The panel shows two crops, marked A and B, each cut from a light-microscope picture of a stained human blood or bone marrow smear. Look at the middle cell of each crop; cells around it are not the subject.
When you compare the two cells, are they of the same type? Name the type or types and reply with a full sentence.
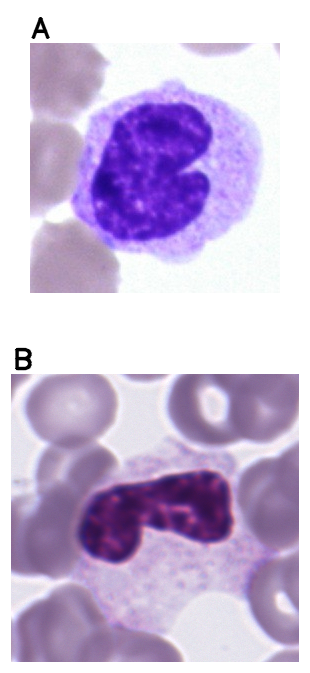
No; crop A is a monocyte, while crop B is a band neutrophil.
